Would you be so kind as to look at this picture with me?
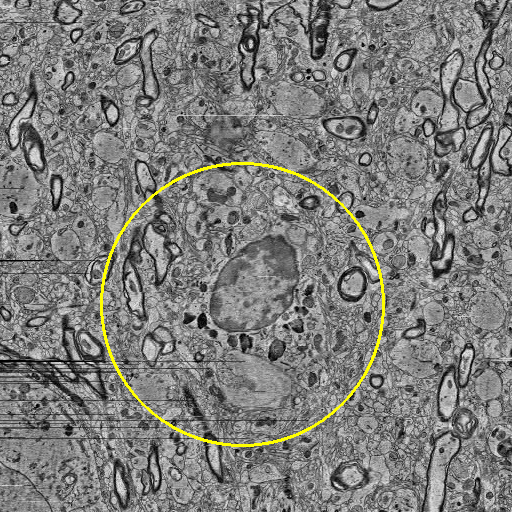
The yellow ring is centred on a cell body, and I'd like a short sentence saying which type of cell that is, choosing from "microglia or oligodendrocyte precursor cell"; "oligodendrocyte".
The cell body in the ring belongs to a microglial cell or oligodendrocyte precursor cell.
